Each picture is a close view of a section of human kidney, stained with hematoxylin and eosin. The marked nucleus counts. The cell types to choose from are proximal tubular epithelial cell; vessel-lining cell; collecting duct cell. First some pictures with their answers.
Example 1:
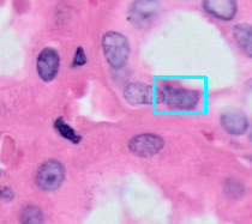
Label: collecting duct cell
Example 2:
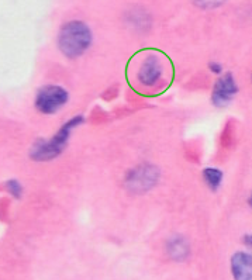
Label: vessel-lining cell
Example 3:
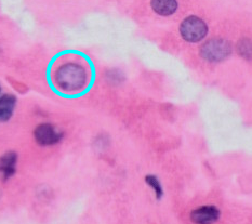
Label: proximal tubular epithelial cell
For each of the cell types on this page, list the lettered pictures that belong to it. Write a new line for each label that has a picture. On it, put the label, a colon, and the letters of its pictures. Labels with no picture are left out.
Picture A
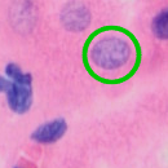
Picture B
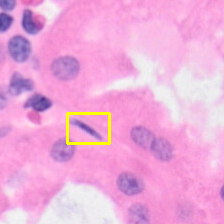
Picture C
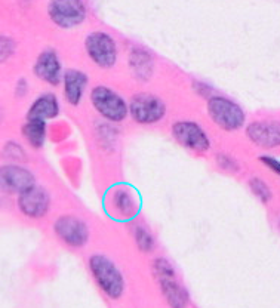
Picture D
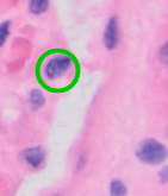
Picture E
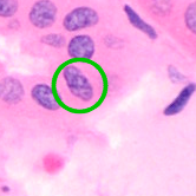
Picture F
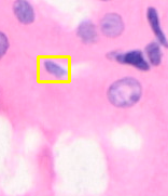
proximal tubular epithelial cell: A
vessel-lining cell: B, D, F
collecting duct cell: C, E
